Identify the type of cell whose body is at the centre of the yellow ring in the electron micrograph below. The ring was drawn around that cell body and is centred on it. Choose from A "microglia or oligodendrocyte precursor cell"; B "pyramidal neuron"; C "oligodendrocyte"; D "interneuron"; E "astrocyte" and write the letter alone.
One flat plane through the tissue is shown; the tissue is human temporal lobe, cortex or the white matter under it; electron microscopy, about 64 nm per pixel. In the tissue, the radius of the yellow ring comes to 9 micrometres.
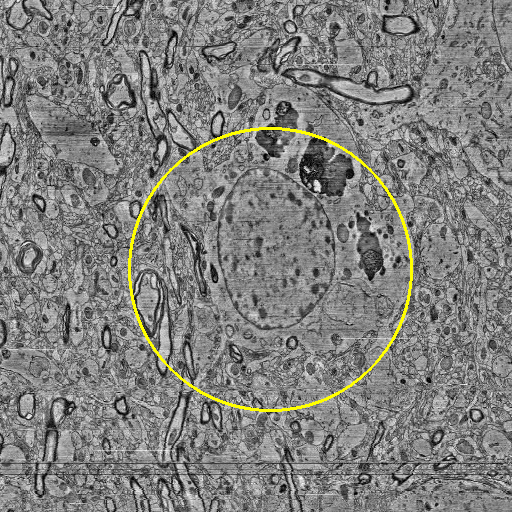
E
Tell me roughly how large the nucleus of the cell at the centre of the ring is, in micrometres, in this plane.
In this plane, the nucleus of the cell at the centre of the ring measures about 11 by 8 micrometres.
